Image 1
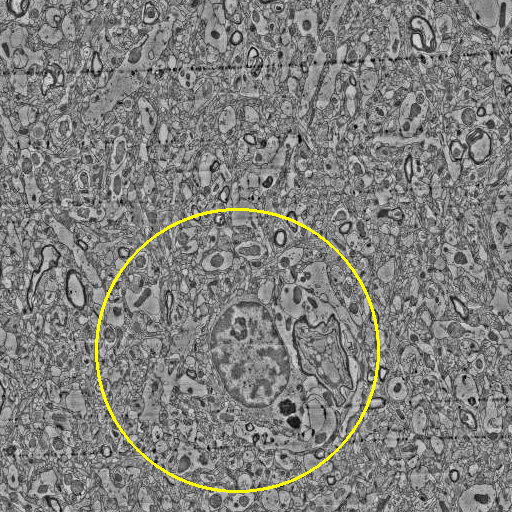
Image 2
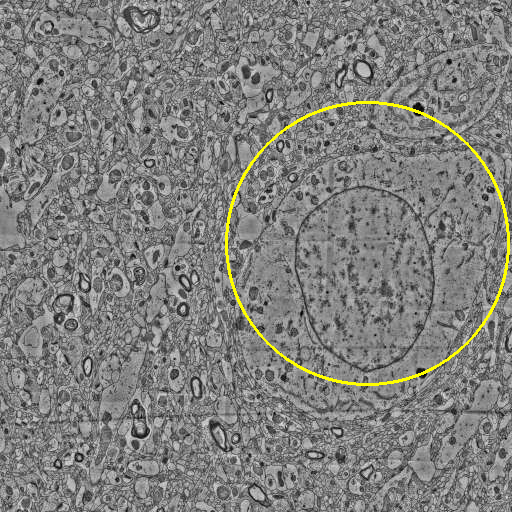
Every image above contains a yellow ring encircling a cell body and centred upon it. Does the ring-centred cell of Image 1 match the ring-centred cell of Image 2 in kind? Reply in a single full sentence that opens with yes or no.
No, the cell at the ring's centre in Image 1 is a separate kind from that in Image 2.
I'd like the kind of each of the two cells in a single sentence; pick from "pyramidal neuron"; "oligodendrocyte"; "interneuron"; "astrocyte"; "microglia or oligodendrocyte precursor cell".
The first ring marks an oligodendrocyte, and the second ring marks a pyramidal neuron.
